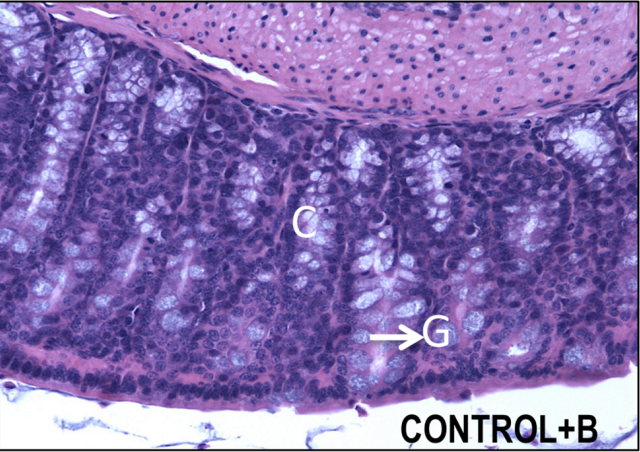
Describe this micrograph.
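Colonic mucosa with closely packed, parallel crypts running perpendicular to the surface beneath a pink muscular layer. The crypts are lined by columnar epithelium with dark basal nuclei and contain many pale, vacuolated goblet cells filled with clear to bluish mucus. Narrow strips of lamina propria with small dark nuclei separate the crypts.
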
